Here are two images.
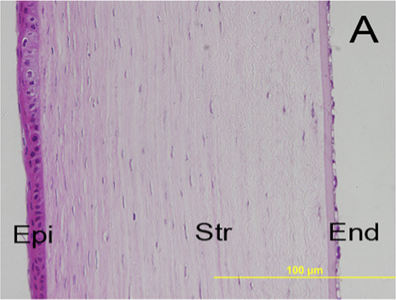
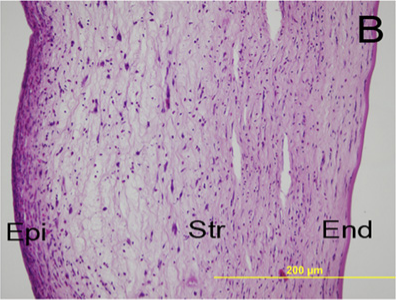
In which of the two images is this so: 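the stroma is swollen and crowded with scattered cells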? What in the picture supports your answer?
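Second image: the stroma has loose, separated lamellae with many dark nuclei scattered through it. First image: the stroma has compact, regular lamellae with few nuclei.
Conclusion: the second image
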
